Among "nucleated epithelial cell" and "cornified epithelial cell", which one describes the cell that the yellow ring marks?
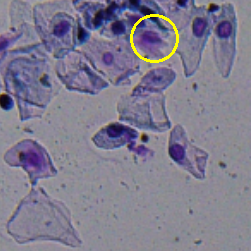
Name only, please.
nucleated epithelial cell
